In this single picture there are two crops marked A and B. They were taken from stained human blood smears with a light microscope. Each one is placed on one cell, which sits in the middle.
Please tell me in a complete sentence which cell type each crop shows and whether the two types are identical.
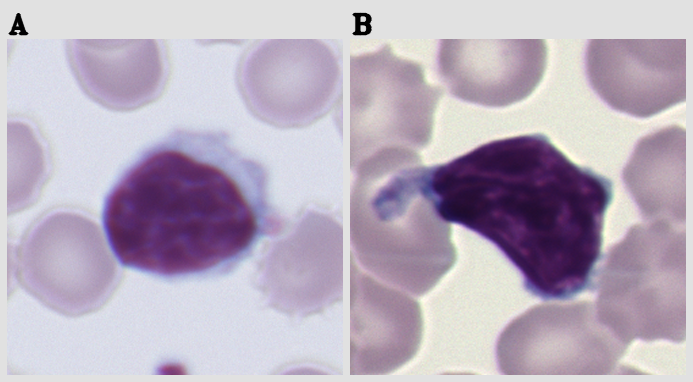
Yes, in the two crops, typical lymphocytes are the cells at the centre.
